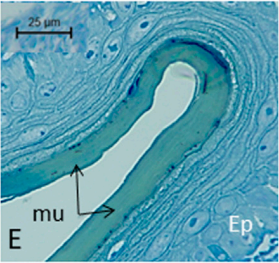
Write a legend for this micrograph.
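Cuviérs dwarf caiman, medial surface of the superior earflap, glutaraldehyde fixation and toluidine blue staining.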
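The cleft is lined by a smooth, darker blue band of mucosa. Around it, many thin, flattened cells with elongated nuclei are stacked in curved layers that follow the cleft's outline, like the skins of an onion. Farther from the cleft, toward the lower right, the cells of the epithelium are rounder, each with a distinct nucleus.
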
